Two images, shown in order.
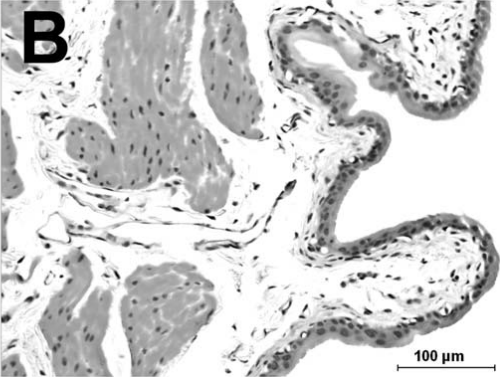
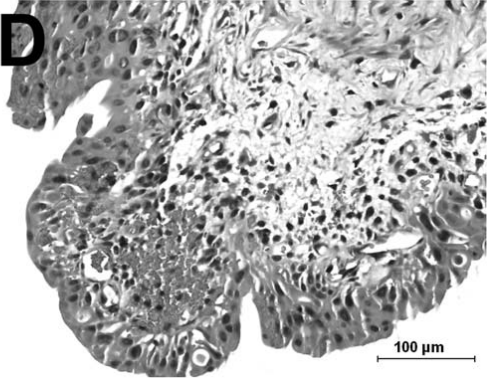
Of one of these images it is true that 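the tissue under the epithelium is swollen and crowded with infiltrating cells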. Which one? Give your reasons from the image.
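Second image: the connective tissue beneath the lining is packed with many dark nuclei. First image: the connective tissue beneath the lining is sparse, with few scattered nuclei. First image: the lining epithelium is only a few cell layers thick. On this evidence: the second image.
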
